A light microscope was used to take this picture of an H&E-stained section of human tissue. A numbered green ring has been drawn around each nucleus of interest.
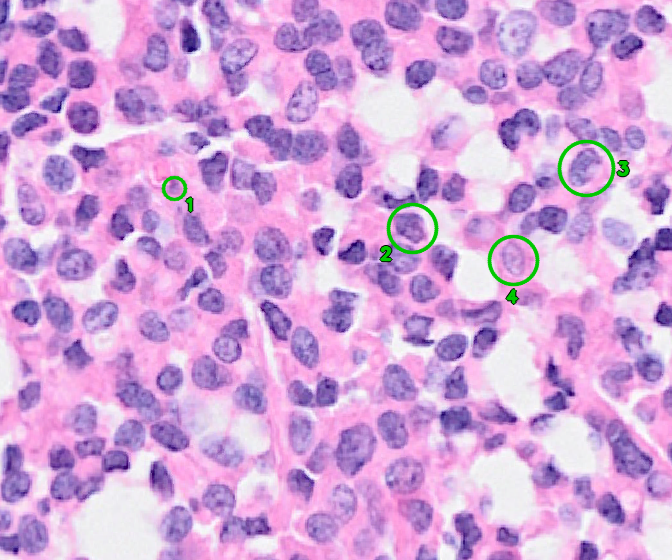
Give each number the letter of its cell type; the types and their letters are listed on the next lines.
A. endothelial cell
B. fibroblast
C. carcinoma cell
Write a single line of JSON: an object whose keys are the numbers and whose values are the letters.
{"1": "A", "2": "C", "3": "C", "4": "C"}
